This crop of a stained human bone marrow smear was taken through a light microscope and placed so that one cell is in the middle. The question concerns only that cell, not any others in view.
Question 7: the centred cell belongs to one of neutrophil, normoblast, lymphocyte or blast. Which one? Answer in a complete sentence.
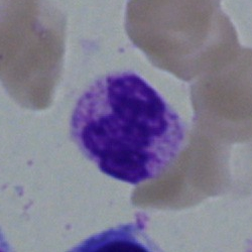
Here the cell in the middle is a neutrophil.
